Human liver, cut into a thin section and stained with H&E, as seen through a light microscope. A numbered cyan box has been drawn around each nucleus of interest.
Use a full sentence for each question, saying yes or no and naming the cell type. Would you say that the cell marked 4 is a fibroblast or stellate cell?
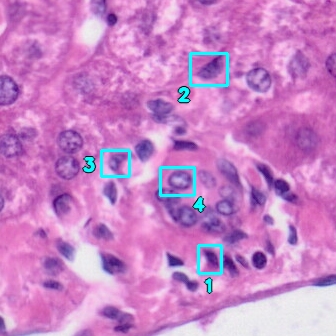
No, cell 4 isn't a fibroblast or stellate cell; it's a cholangiocyte.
